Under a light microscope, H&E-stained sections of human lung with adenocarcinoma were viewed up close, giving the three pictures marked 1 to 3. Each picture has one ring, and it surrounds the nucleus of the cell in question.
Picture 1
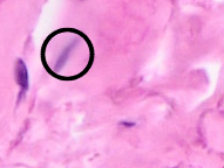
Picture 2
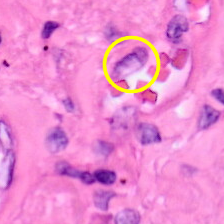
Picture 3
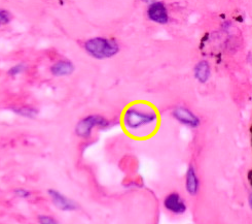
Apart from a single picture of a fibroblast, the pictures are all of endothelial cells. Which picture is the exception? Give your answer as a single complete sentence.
The picture with the fibroblast is 1.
